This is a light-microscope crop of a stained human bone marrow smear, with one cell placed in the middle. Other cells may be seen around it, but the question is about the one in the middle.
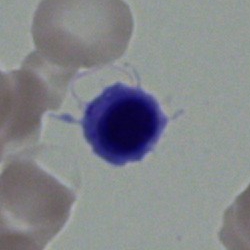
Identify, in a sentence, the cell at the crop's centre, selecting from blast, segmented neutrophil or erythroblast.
Answering briefly, the cell in the middle is an erythroblast.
